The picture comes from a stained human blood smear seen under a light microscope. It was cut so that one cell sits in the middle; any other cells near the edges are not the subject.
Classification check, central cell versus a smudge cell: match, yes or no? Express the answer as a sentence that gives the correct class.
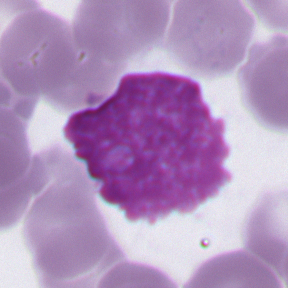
Yes, the cell in the middle has the identity of a smudge cell.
